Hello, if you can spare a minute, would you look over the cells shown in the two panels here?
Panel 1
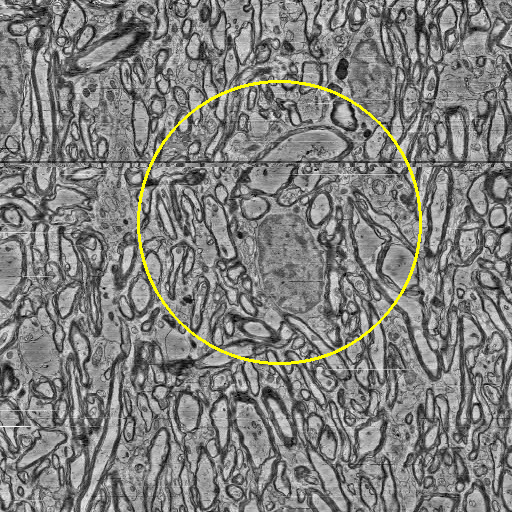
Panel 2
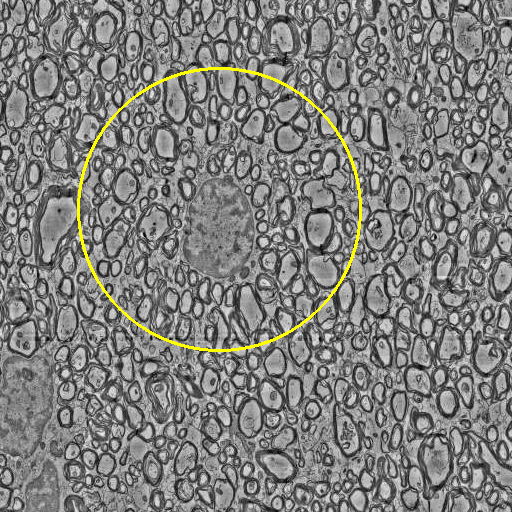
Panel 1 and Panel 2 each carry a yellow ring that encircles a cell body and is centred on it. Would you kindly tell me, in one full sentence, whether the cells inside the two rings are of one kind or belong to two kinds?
The cells at the centres of the rings in Panel 1 and Panel 2 are of one kind.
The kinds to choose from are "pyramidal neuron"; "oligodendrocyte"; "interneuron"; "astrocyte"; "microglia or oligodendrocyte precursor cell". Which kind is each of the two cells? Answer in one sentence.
Each of the two cells is an oligodendrocyte.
